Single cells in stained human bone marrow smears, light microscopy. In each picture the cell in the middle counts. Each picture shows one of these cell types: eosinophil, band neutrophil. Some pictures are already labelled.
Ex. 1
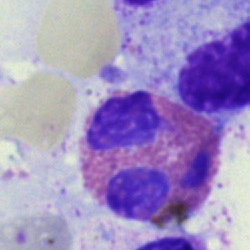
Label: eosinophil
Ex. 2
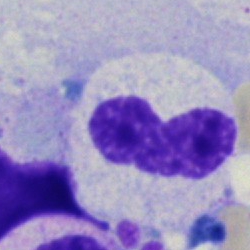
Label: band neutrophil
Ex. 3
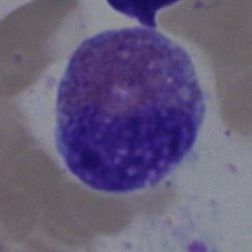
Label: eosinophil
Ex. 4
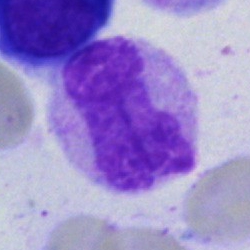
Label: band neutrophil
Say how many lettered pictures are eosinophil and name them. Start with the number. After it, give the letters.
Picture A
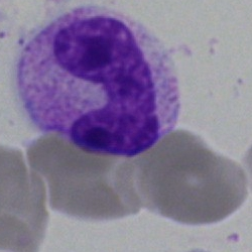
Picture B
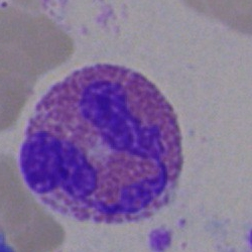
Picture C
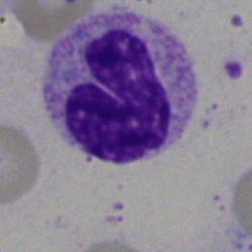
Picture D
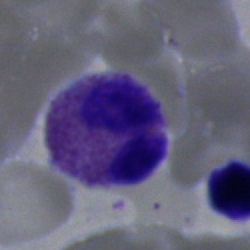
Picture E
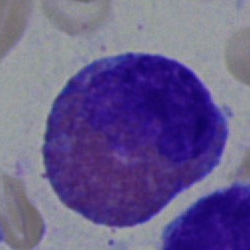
3: B, D, E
